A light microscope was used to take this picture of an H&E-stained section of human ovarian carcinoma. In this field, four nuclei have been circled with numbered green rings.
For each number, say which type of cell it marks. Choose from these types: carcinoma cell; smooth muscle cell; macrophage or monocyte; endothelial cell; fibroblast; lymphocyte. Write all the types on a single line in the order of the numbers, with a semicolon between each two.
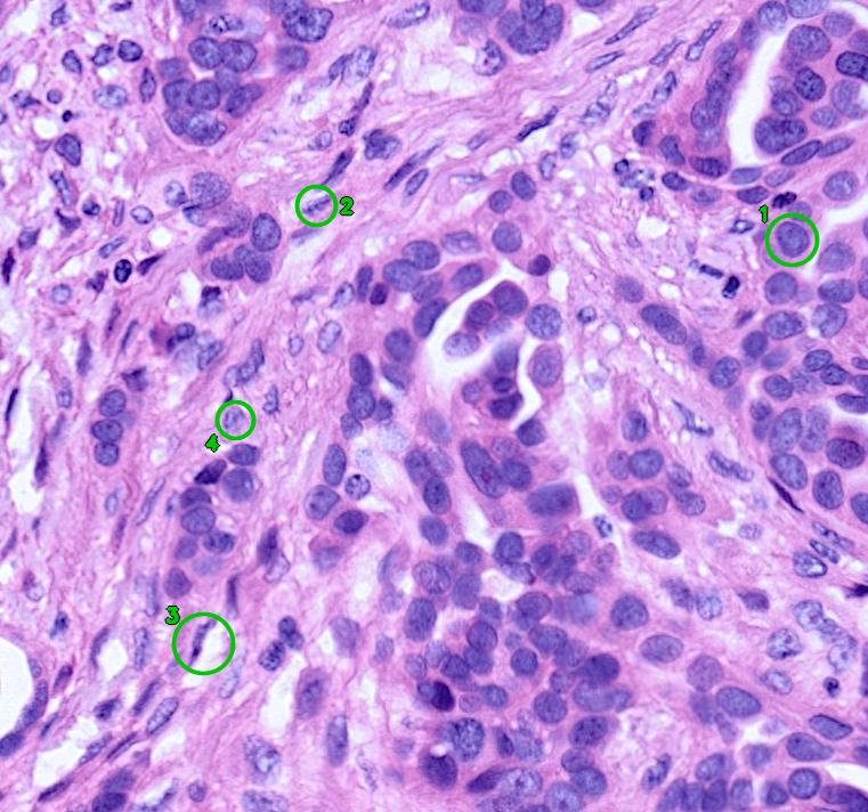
carcinoma cell; fibroblast; fibroblast; fibroblast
